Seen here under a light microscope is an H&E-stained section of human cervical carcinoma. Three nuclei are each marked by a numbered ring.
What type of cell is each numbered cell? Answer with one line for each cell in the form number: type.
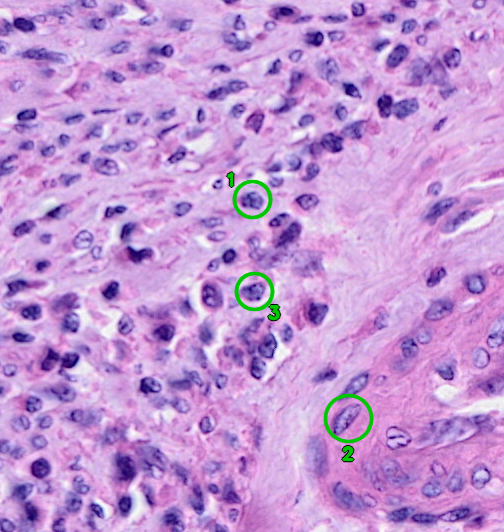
1: lymphocyte
2: smooth muscle cell
3: lymphocyte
